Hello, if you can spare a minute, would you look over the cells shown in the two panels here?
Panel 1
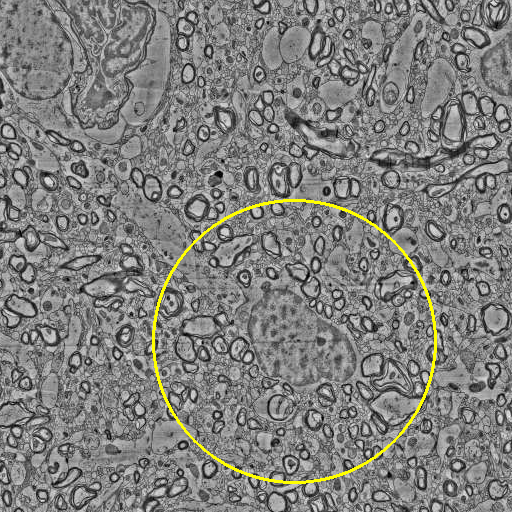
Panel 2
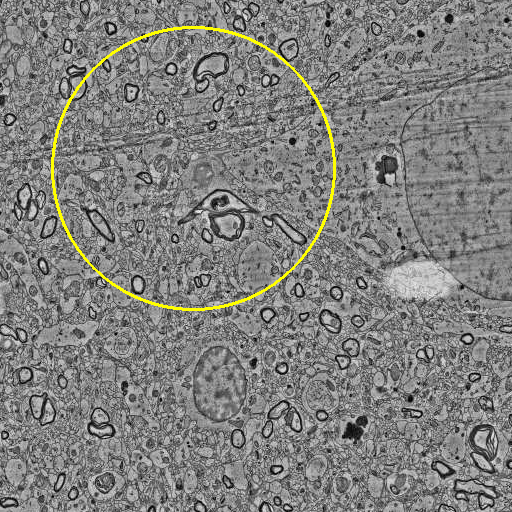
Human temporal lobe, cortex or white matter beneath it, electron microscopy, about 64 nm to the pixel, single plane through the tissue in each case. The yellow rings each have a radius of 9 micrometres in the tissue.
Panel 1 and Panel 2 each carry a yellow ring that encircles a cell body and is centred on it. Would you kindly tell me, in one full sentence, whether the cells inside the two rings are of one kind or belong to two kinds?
The cells at the centres of the rings in Panel 1 and Panel 2 are of one kind.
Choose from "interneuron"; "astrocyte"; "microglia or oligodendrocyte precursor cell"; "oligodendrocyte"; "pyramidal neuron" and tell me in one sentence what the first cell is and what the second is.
Each one of the two ringed cells is an oligodendrocyte.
